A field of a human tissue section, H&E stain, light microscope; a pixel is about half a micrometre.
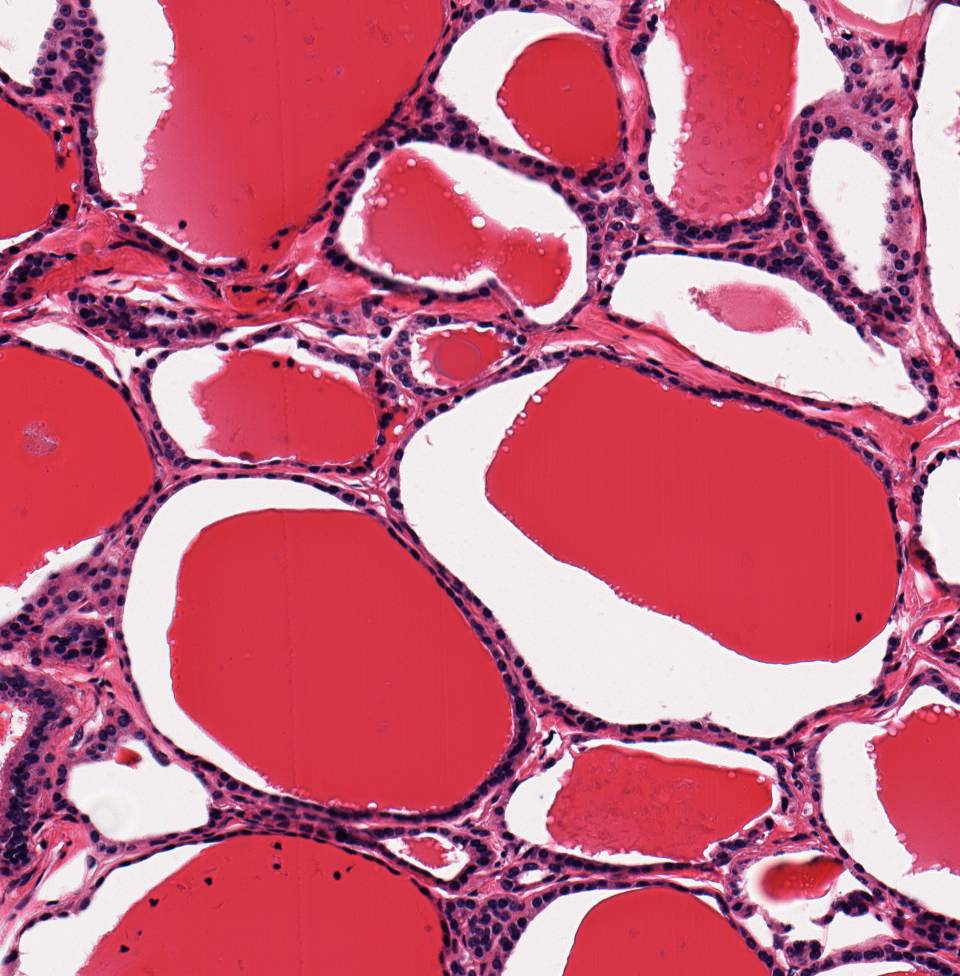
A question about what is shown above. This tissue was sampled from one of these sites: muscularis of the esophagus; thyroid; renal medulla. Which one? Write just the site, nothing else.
thyroid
